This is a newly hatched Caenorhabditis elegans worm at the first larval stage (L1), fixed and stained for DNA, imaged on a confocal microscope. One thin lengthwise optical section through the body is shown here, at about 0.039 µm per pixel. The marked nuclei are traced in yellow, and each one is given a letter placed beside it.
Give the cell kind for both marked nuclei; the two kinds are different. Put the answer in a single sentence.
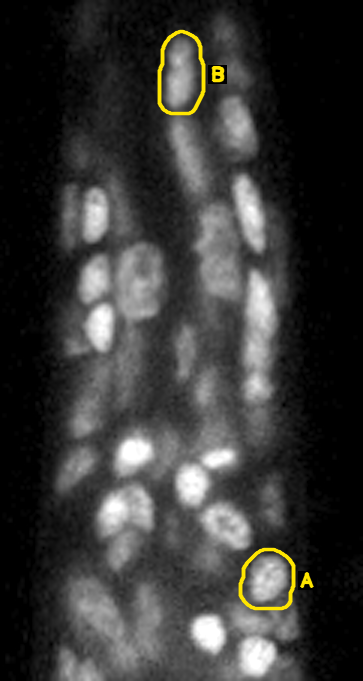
A is in a neuron and B is in a pharyngeal epithelial cell.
